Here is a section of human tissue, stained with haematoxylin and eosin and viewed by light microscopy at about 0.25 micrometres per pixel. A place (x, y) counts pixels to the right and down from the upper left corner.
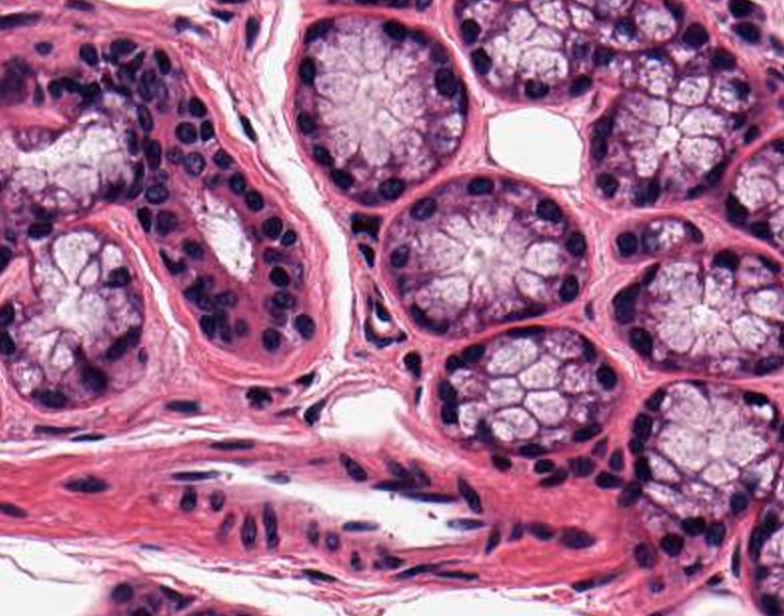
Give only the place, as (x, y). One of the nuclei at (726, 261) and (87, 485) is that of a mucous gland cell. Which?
(726, 261)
